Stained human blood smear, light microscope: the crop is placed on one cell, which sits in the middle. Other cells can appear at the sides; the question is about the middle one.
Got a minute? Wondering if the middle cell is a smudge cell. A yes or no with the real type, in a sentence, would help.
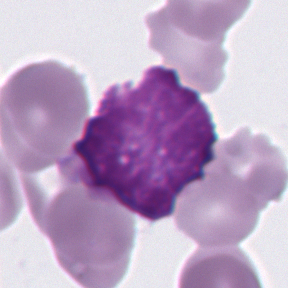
Yes, the cell at the midpoint of the crop is a smudge cell.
